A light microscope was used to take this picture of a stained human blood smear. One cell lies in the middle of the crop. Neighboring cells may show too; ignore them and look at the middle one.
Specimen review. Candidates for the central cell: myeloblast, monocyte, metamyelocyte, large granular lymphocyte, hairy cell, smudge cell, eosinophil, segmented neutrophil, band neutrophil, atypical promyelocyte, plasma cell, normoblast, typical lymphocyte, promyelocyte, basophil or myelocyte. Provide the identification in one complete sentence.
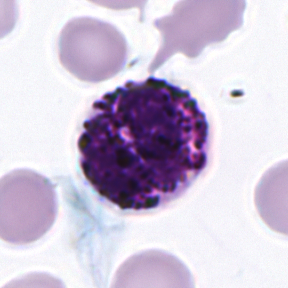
The middle of this crop holds a basophil.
